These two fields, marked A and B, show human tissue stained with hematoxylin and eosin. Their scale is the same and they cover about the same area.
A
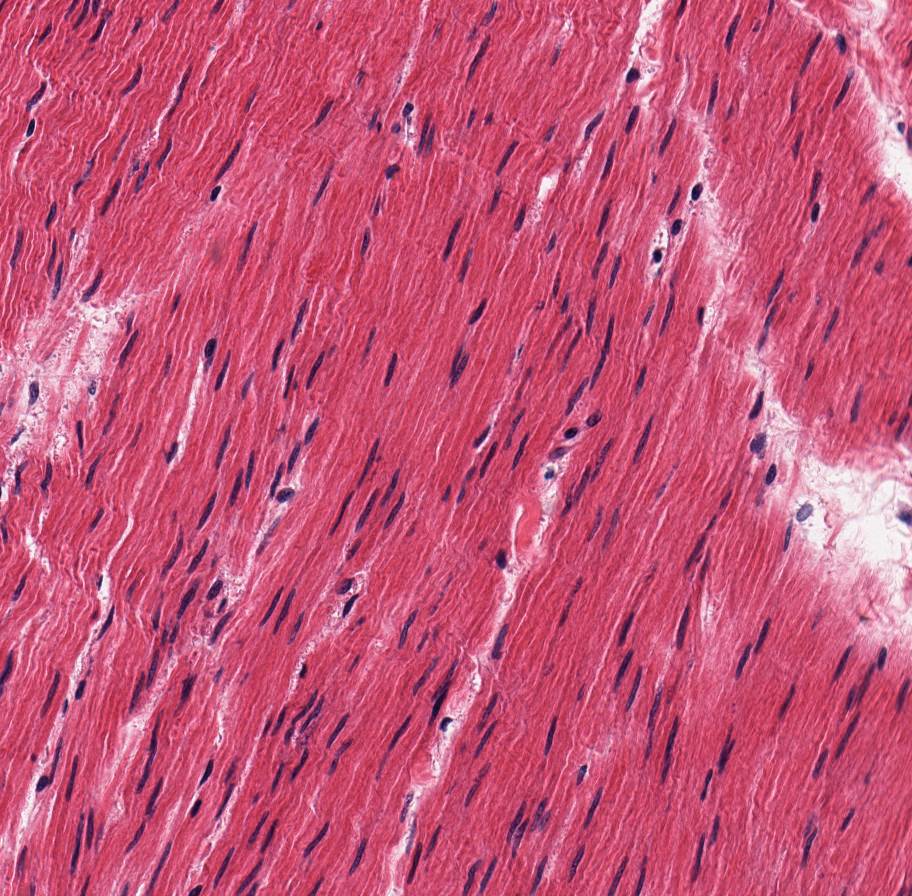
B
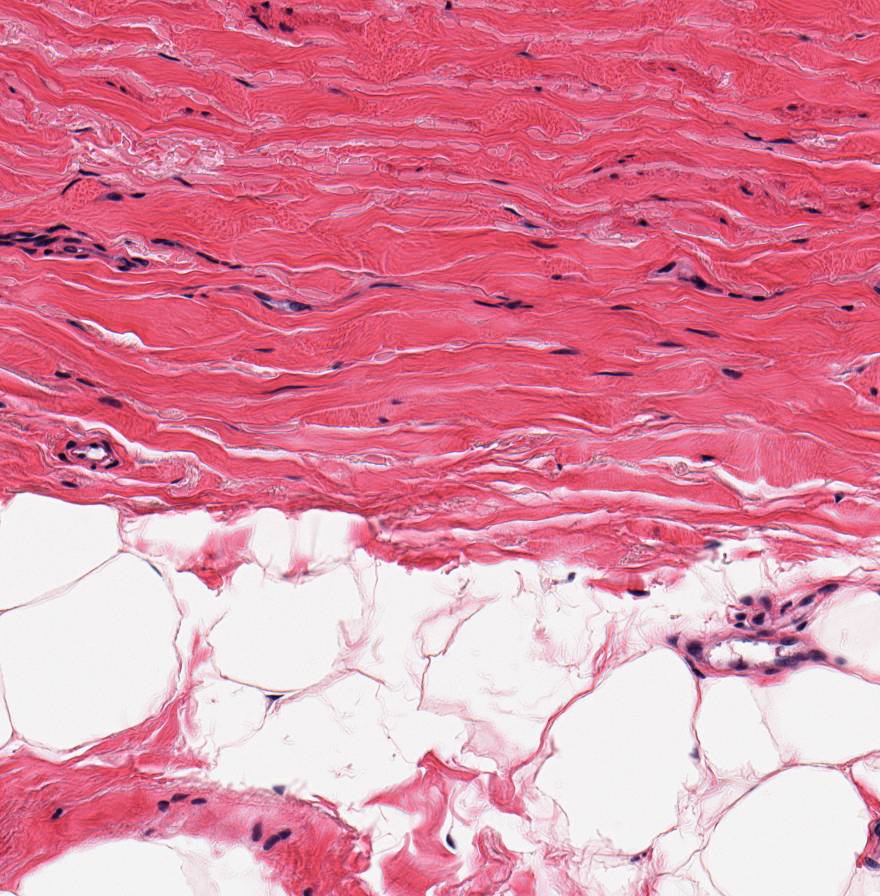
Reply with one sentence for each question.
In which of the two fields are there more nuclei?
More nuclei lie in picture A than in picture B.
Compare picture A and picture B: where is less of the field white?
Less of picture A is empty and white.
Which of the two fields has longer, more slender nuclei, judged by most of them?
Longer, more slender nuclei lie in picture A.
